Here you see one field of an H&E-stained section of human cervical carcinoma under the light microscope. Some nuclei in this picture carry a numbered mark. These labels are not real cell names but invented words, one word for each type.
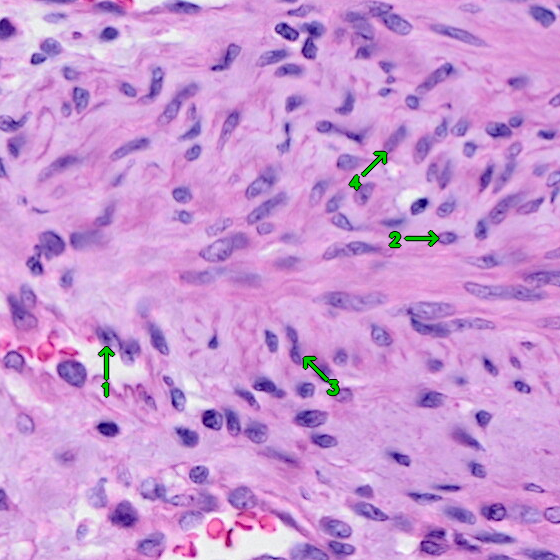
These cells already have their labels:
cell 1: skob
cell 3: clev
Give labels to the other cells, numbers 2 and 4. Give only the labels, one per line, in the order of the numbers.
clev
clev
